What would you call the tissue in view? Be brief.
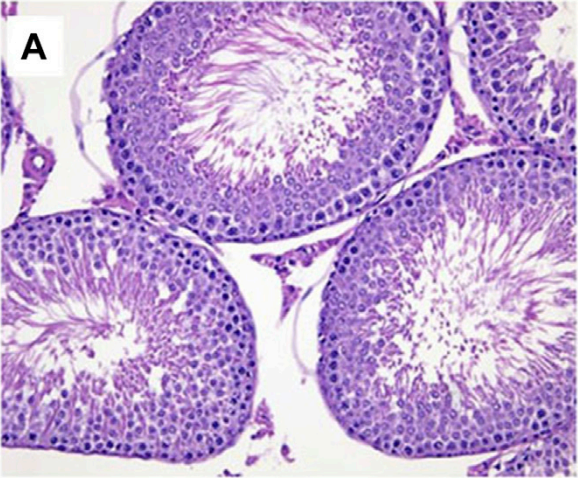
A: testis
